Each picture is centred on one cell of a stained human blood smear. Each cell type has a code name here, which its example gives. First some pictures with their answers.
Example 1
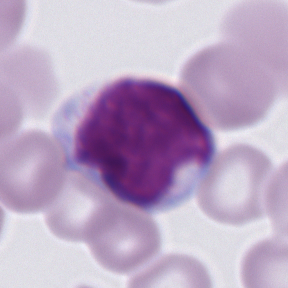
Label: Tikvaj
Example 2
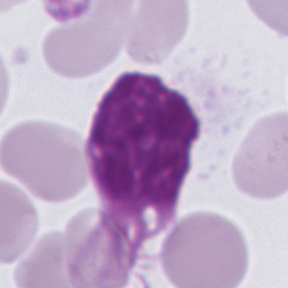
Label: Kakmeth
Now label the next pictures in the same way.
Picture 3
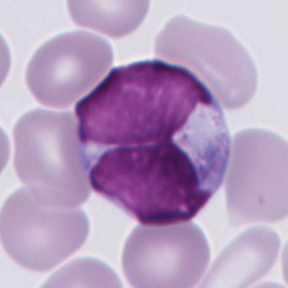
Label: Tikvaj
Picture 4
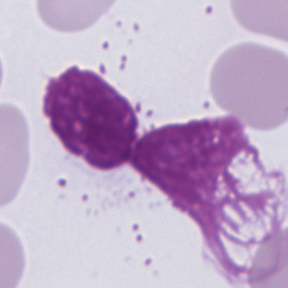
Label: Kakmeth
